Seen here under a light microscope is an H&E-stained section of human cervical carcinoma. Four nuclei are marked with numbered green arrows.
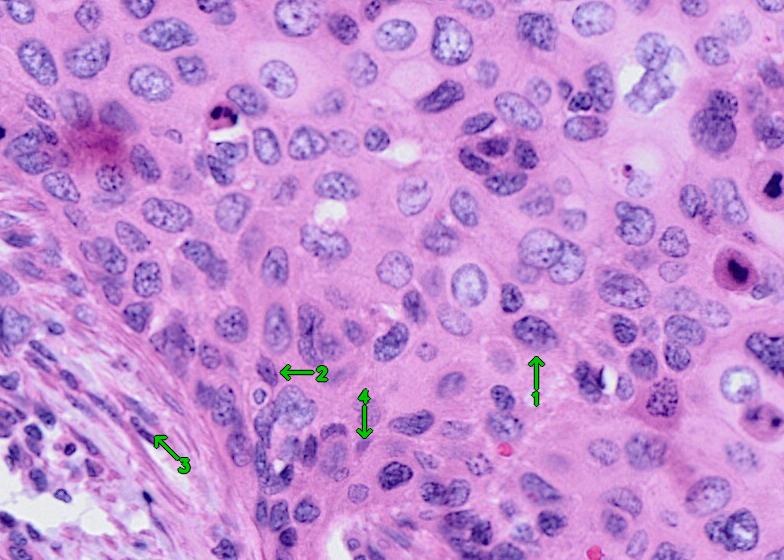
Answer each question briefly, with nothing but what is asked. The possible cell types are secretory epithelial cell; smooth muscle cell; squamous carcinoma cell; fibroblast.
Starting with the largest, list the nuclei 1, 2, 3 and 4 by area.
1, 3, 2, 4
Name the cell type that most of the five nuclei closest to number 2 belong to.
squamous carcinoma cell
